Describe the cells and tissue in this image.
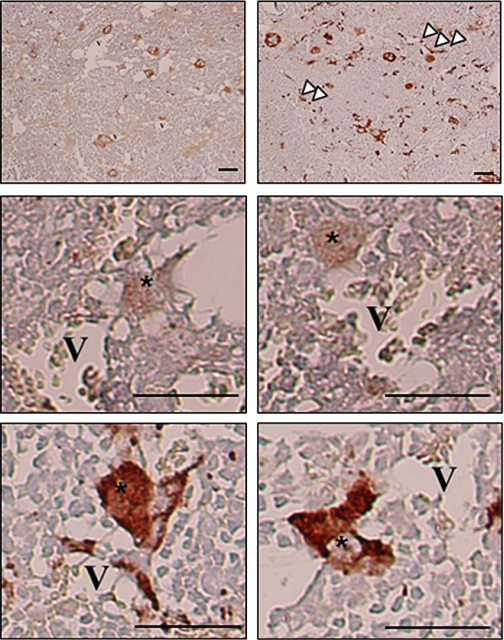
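These are bone marrow sections in which scattered very large megakaryocytes stand out among densely packed small blood-forming cells with bluish nuclei. The megakaryocytes have broad, brown-stained cytoplasm, and some send irregular brown extensions toward neighbouring pale, open vessel lumens. At low magnification the left column shows only a few brown cells, each well separated from the others. The right column shows, besides the large cells, many small brown granular deposits scattered through the marrow.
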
